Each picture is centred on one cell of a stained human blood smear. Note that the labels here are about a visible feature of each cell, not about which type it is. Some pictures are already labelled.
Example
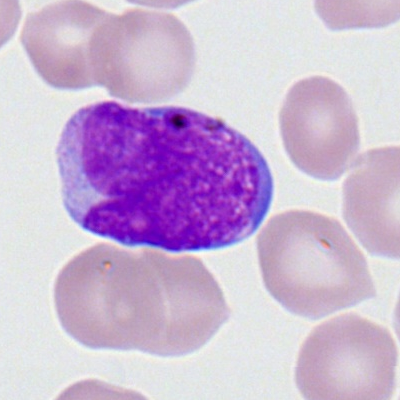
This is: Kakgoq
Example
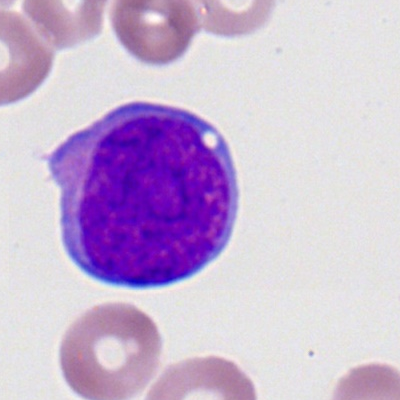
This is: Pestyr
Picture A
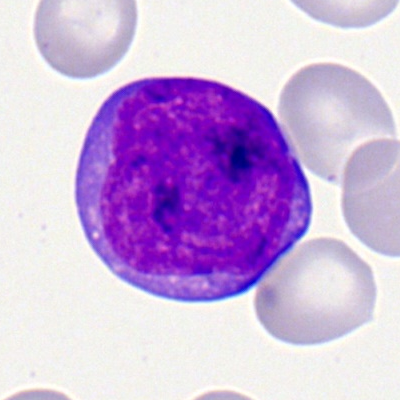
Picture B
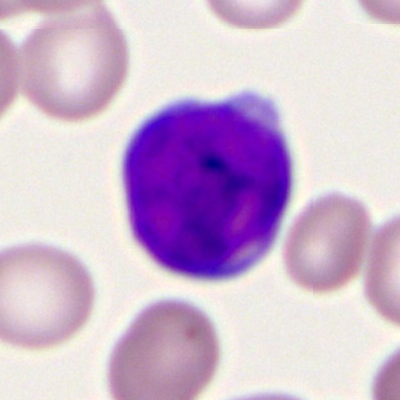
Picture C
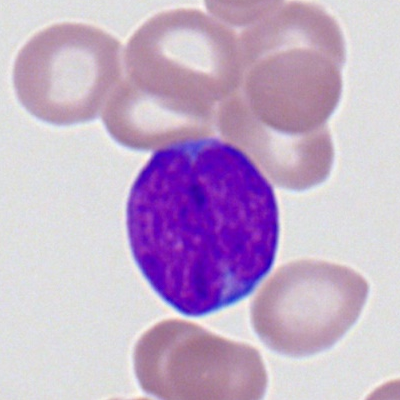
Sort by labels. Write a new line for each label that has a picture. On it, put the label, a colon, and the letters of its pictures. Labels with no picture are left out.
Kakgoq: A, C
Pestyr: B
